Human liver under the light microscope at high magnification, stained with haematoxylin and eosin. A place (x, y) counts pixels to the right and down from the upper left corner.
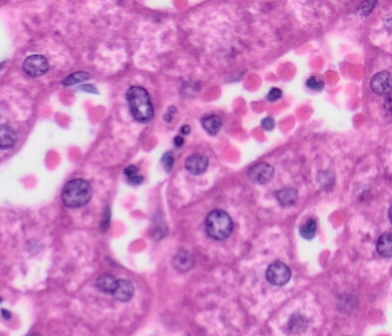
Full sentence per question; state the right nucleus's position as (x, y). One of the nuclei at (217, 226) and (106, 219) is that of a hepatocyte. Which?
Heads up, the nucleus at (217, 226) is the one that belongs to a hepatocyte.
